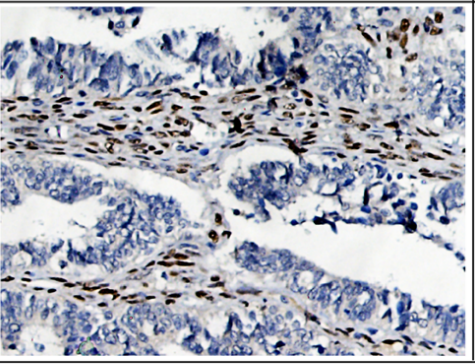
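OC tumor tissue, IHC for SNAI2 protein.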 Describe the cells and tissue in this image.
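Clusters and papillary fronds of tumour epithelium, with crowded blue nuclei and pale cytoplasm, are separated by streaming bands of connective tissue. Within these bands lie many elongated, spindle-shaped cells whose slender nuclei are stained dark brown, aligned along the direction of the bands. Clear open spaces lie between the epithelial clusters. The brown staining sits in the stroma, in its fibroblasts, while the carcinoma cells themselves remain blue.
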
